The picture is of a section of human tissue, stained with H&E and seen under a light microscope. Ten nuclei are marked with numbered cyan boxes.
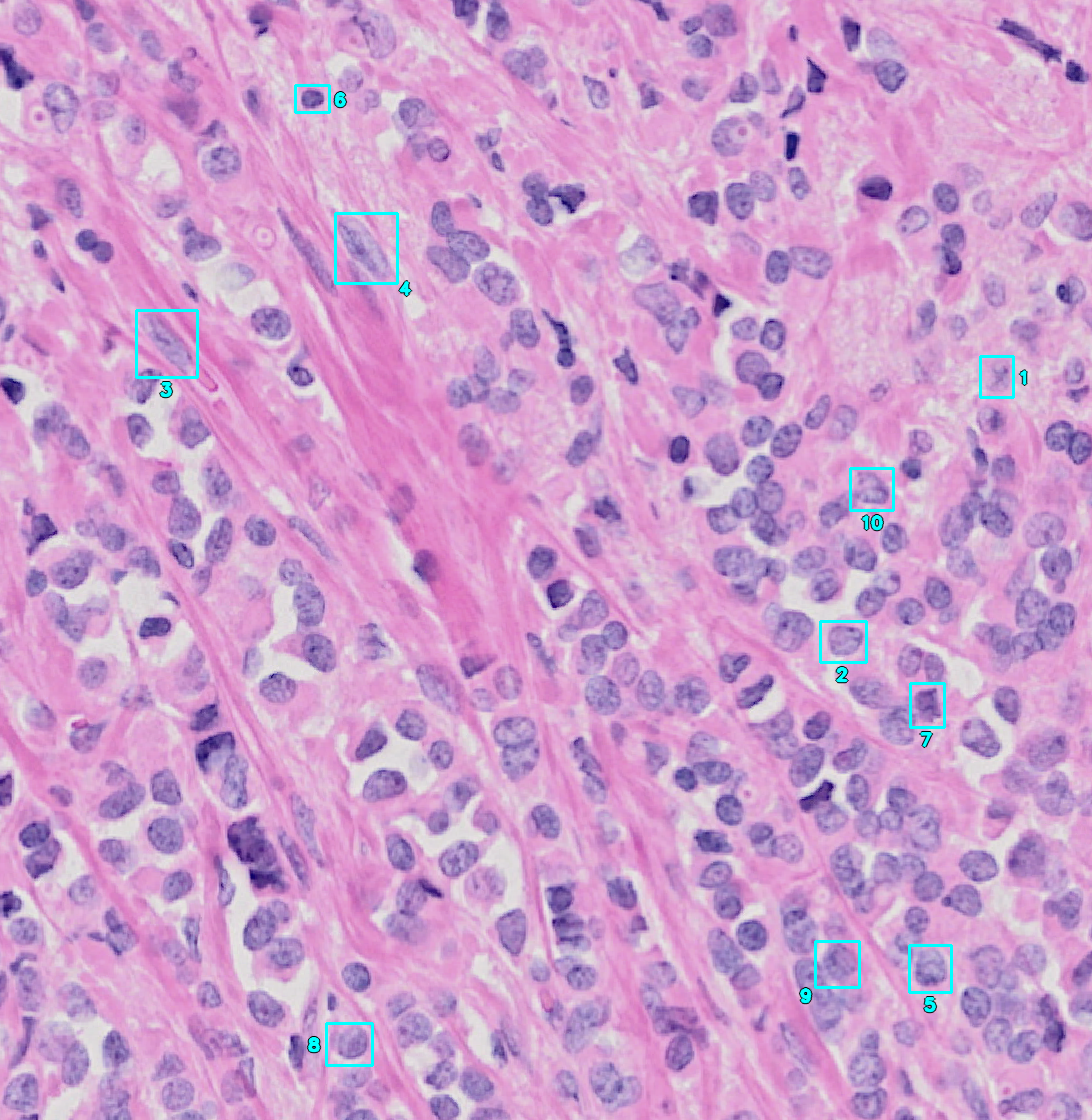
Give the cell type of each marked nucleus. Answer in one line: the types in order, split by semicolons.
fibroblast; carcinoma cell; endothelial cell; fibroblast; carcinoma cell; lymphocyte; carcinoma cell; carcinoma cell; carcinoma cell; carcinoma cell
